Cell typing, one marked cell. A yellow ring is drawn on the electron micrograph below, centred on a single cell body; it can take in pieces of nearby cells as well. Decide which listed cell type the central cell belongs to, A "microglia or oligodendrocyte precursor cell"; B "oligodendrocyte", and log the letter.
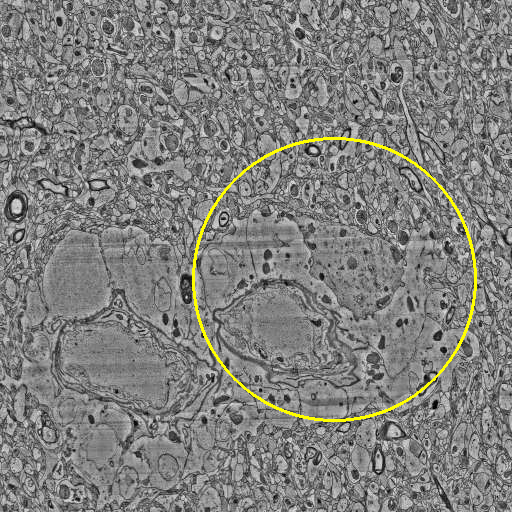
B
